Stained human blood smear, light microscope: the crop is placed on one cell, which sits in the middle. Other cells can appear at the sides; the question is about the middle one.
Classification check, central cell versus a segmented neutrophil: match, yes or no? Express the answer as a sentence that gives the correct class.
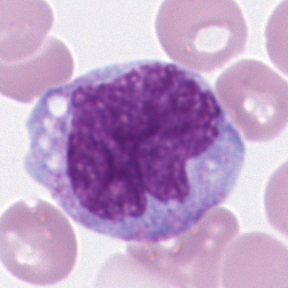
No, what lies at the heart of the crop is a monocyte, not a segmented neutrophil.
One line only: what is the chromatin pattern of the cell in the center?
The chromatin pattern is fine and free of coarse clumps.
